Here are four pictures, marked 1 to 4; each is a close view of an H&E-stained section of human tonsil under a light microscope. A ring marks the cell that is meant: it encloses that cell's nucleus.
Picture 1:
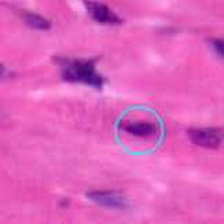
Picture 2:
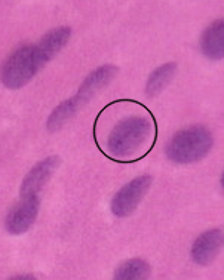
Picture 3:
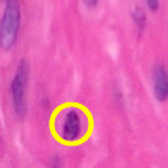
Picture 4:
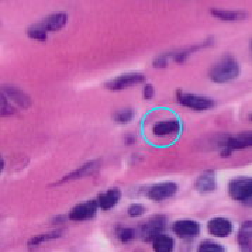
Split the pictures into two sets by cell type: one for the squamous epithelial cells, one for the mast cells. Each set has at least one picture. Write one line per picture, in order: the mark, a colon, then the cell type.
1: mast cell
2: squamous epithelial cell
3: mast cell
4: mast cell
